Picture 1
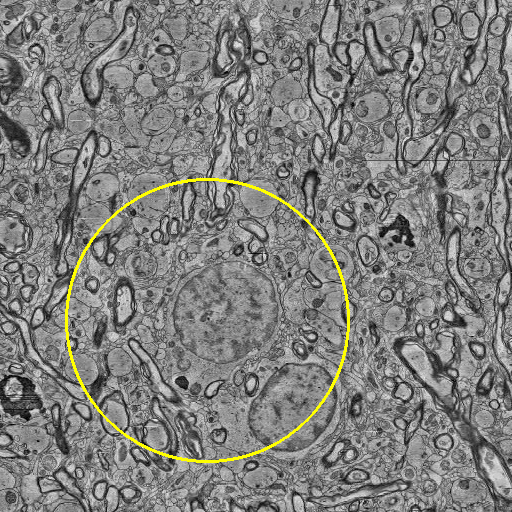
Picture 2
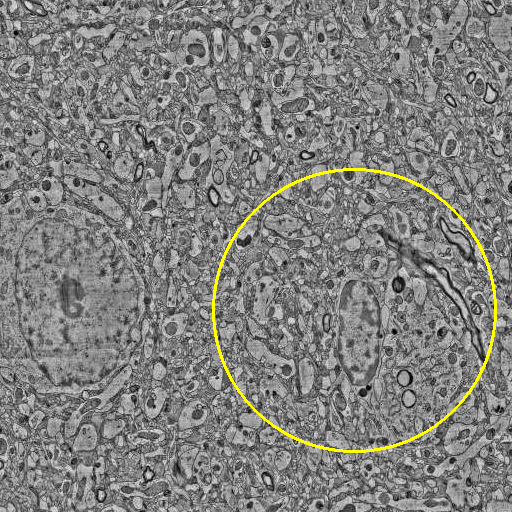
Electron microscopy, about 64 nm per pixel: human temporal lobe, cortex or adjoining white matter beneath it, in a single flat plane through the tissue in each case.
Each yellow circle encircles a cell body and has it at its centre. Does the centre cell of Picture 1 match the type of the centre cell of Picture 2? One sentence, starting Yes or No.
No, the cell centred in Picture 1 and the one in Picture 2 have separate types.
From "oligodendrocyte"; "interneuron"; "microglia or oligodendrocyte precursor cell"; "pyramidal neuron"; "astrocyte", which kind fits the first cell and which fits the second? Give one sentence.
The cell marked in the first picture is an oligodendrocyte, and the one marked in the second is a microglial cell or oligodendrocyte precursor cell.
